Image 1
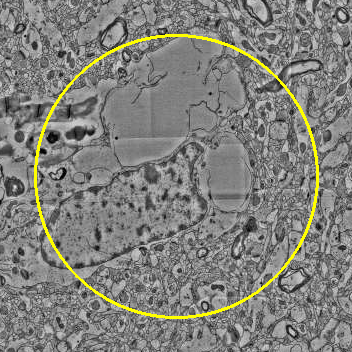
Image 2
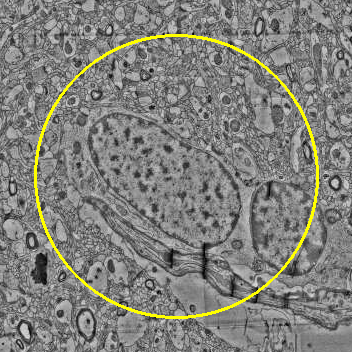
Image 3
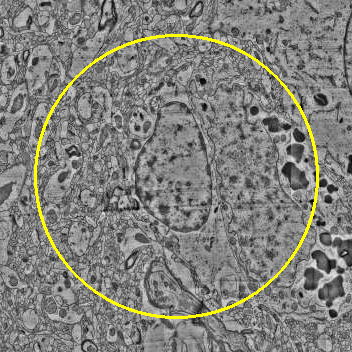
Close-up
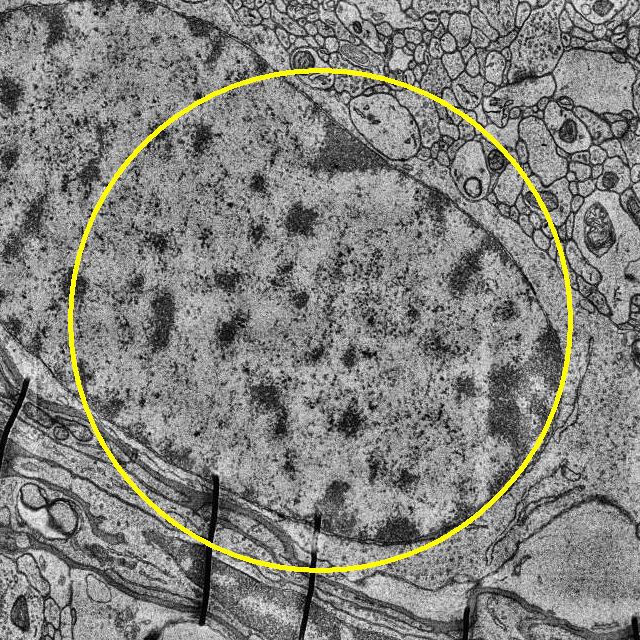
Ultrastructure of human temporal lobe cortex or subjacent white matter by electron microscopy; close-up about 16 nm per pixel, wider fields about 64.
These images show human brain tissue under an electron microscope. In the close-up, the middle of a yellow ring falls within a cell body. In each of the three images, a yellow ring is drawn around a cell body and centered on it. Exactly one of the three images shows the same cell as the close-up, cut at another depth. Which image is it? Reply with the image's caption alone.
Image 2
